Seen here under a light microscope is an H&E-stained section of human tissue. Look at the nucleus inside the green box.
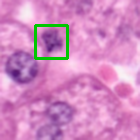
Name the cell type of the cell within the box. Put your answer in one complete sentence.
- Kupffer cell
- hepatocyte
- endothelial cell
Cytologically, the cell within the box is to be regarded as an endothelial cell.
